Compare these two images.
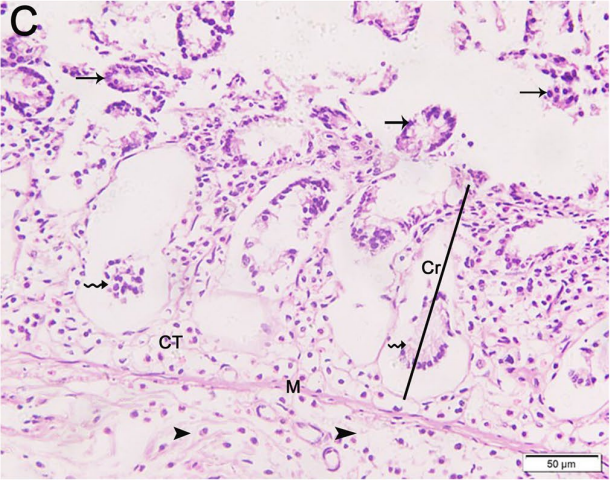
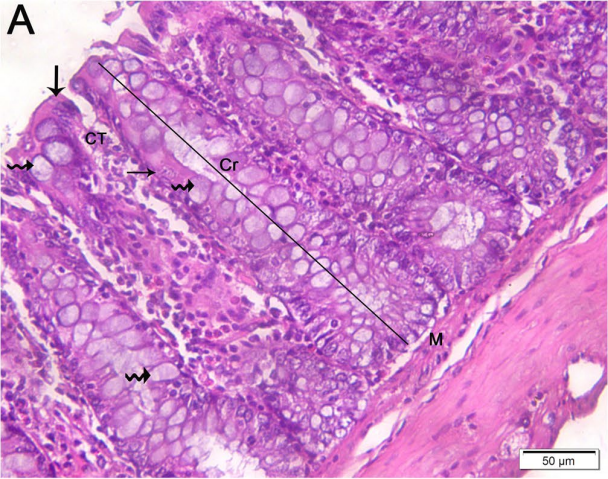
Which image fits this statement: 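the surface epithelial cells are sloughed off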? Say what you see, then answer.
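First image: detached clumps of epithelial cells lie in the space above broken, dilated crypts. Second image: crypts are long, closely packed and continuously lined by epithelium.
The first image.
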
